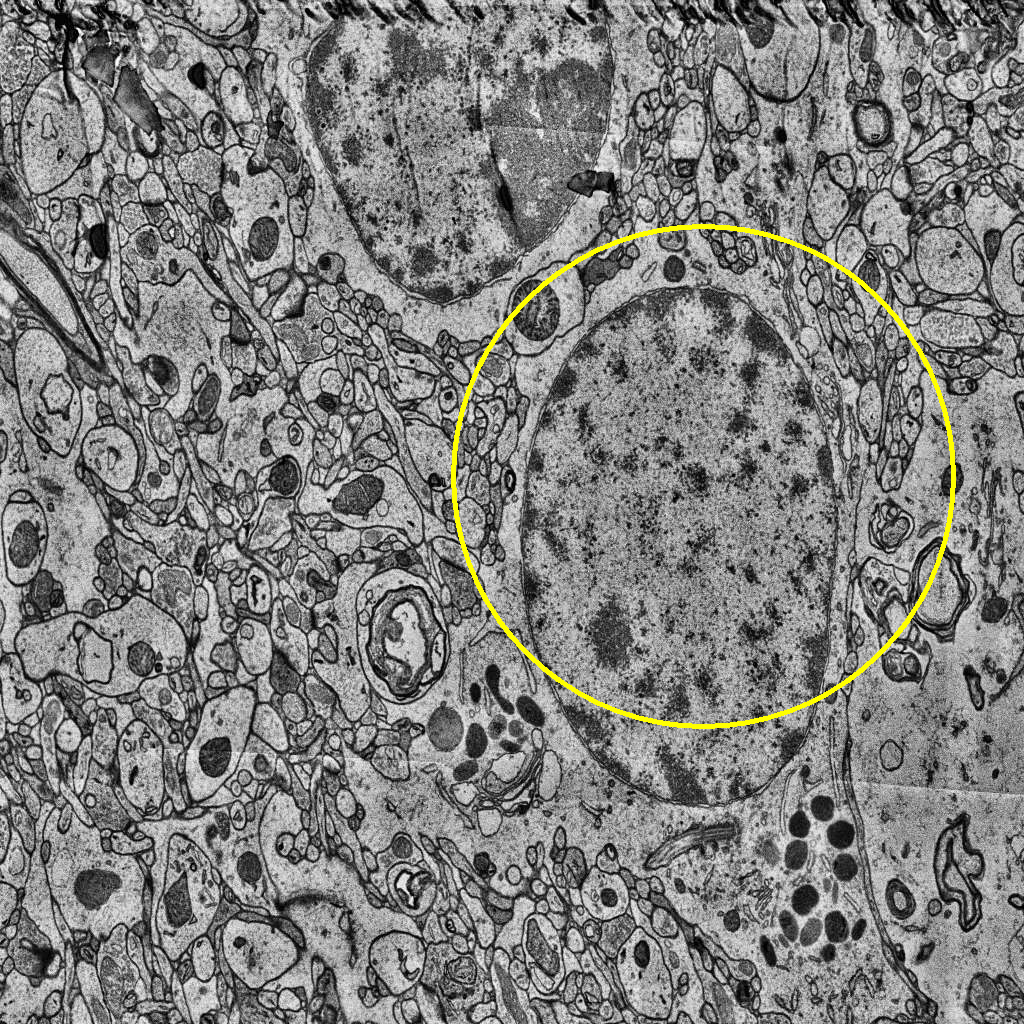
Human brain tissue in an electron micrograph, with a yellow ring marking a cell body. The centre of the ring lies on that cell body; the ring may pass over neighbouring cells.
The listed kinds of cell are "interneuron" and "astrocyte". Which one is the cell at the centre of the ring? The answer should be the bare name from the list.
astrocyte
